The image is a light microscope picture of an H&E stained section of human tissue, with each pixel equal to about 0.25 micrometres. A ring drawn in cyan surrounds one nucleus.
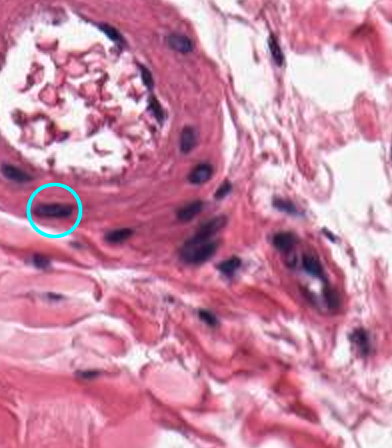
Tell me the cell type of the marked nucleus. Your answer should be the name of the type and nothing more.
smooth muscle cell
